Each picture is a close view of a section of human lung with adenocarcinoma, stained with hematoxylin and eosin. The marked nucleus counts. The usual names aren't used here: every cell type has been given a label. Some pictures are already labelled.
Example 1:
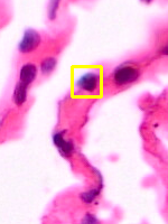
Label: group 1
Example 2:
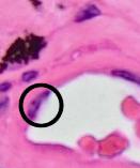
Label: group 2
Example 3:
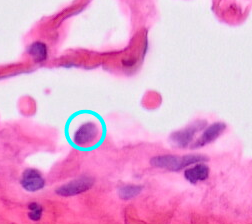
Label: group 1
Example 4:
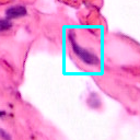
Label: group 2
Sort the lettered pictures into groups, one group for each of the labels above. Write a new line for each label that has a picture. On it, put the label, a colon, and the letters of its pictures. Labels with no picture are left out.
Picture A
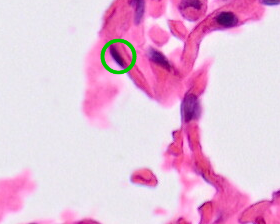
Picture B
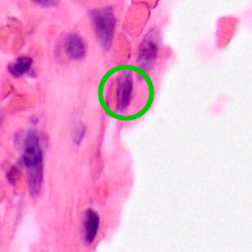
group 2: A, B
